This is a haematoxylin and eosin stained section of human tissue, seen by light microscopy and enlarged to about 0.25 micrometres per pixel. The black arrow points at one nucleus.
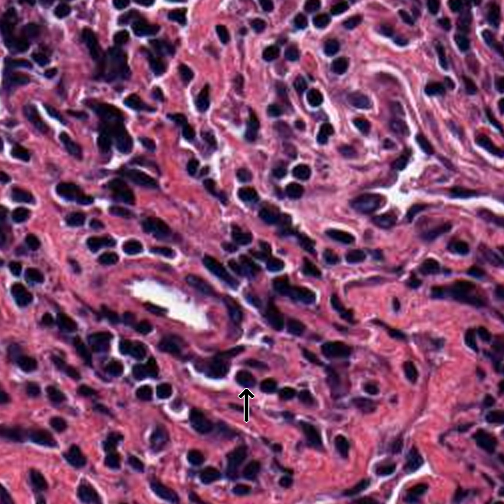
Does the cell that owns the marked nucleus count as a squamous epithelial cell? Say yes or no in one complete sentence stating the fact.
No, instead of being part of a squamous epithelial cell, the marked nucleus is part of a supporting cell.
